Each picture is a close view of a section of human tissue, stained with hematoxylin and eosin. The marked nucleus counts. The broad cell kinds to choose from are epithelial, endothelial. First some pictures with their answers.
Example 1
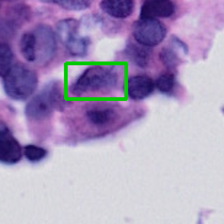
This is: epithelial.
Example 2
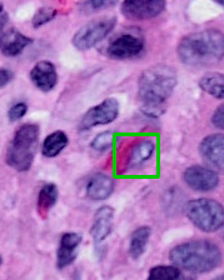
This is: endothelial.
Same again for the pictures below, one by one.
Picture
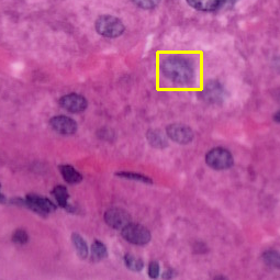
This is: epithelial.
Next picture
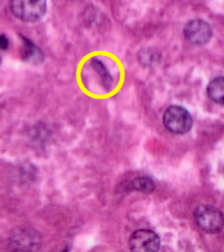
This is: endothelial.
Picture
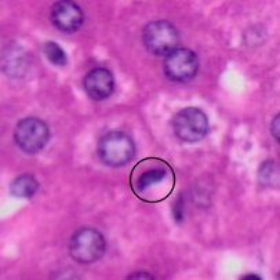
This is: endothelial.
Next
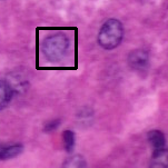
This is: epithelial.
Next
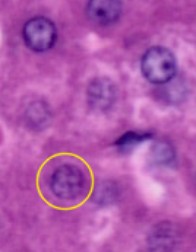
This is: epithelial.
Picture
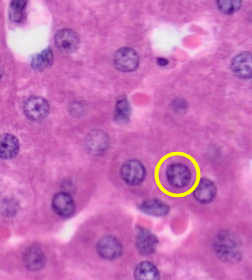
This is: epithelial.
